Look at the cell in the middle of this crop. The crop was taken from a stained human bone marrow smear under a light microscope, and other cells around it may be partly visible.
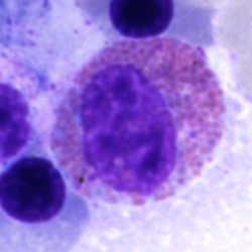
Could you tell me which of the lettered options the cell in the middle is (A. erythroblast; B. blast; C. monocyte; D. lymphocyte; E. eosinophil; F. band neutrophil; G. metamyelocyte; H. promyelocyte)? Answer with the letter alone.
E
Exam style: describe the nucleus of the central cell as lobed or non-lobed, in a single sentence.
See how the nucleus sits as one compact round, oval or kidney-shaped mass.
